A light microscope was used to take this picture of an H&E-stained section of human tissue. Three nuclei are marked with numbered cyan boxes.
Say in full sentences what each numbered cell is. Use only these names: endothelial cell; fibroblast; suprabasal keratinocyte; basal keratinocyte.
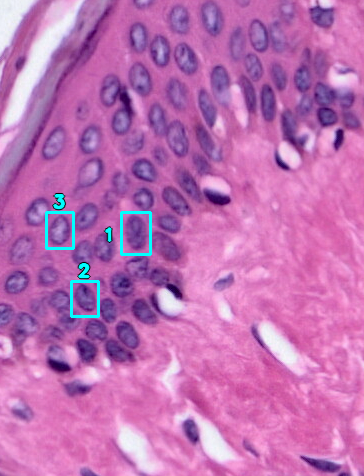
Cell 1 is a basal keratinocyte, cell 2 is a suprabasal keratinocyte and cell 3 is a suprabasal keratinocyte.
